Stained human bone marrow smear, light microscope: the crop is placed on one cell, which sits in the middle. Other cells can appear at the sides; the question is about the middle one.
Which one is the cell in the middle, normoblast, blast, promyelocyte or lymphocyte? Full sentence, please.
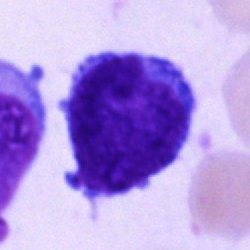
In short, the cell at the center is a blast.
